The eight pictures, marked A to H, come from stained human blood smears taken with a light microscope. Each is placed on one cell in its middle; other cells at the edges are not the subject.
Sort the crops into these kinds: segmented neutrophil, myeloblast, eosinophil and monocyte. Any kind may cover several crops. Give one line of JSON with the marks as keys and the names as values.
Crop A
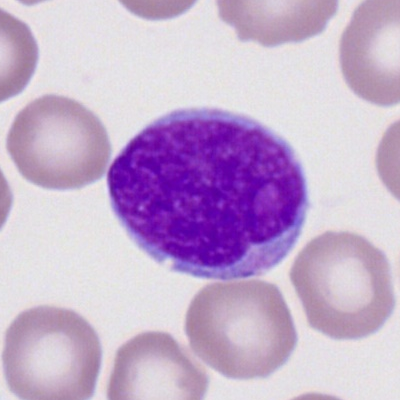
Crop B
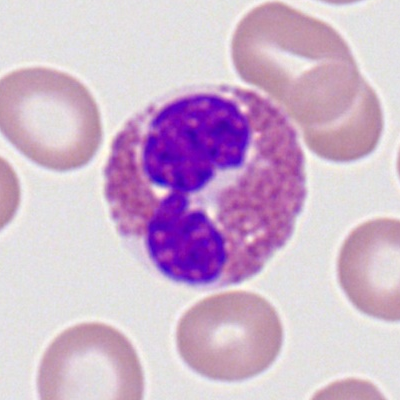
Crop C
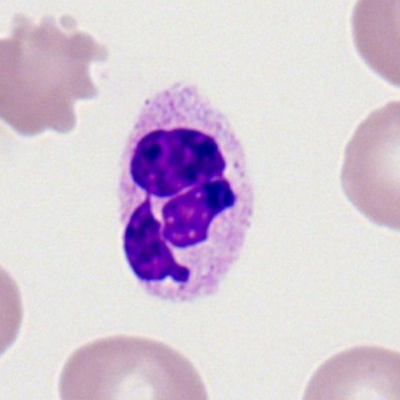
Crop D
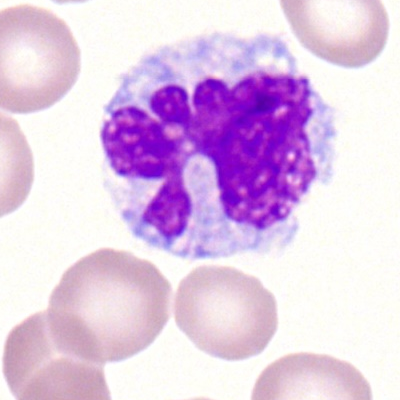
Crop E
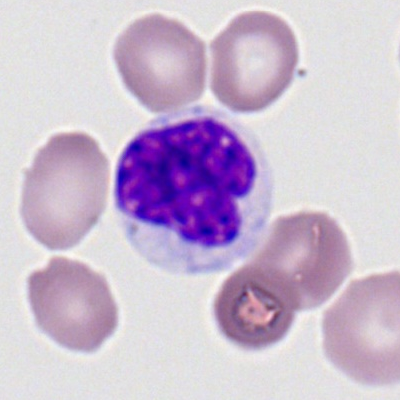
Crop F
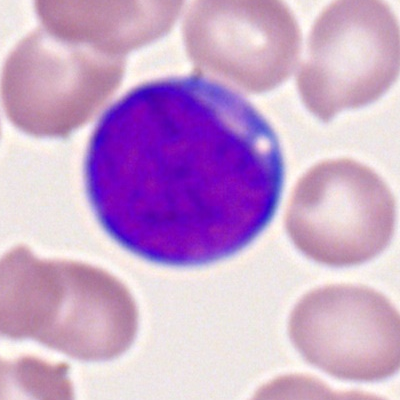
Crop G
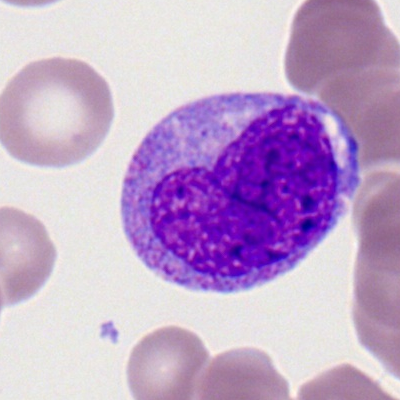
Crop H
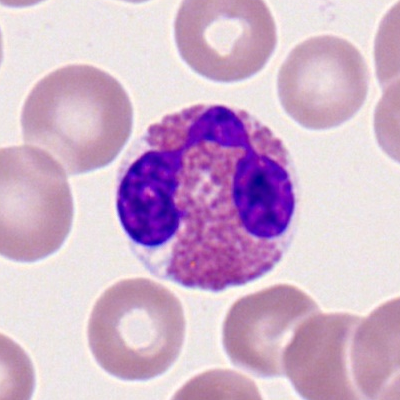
{"A": "myeloblast", "B": "eosinophil", "C": "segmented neutrophil", "D": "monocyte", "E": "segmented neutrophil", "F": "myeloblast", "G": "monocyte", "H": "eosinophil"}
